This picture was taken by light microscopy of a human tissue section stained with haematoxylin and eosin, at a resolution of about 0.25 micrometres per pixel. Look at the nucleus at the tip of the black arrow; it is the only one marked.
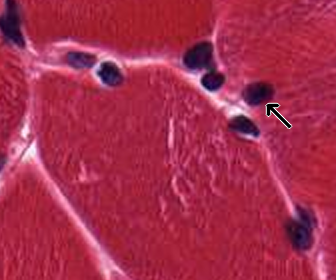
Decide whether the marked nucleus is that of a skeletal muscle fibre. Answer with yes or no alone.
yes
